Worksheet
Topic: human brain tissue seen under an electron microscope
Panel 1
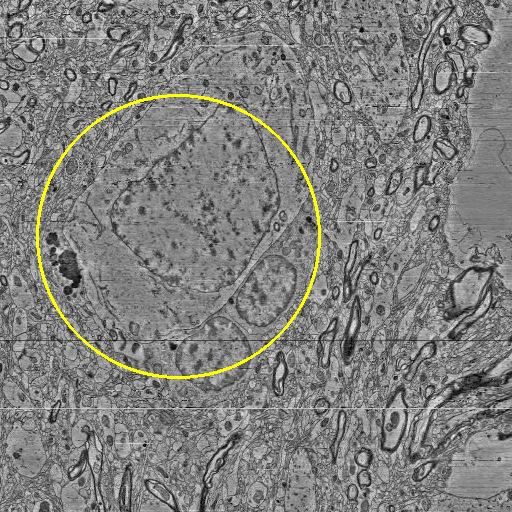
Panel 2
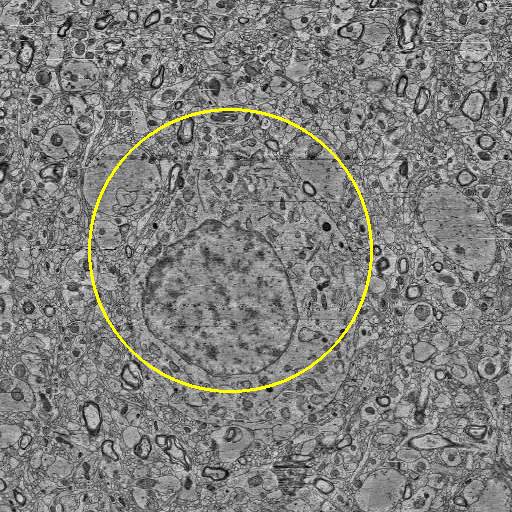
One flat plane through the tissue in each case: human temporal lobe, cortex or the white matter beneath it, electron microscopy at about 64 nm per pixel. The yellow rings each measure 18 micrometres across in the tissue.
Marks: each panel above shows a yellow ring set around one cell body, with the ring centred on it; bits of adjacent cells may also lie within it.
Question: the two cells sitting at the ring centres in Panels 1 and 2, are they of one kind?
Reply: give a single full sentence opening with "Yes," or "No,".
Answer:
Yes, the two ring-centre cells in Panel 1 and Panel 2 are of one kind.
